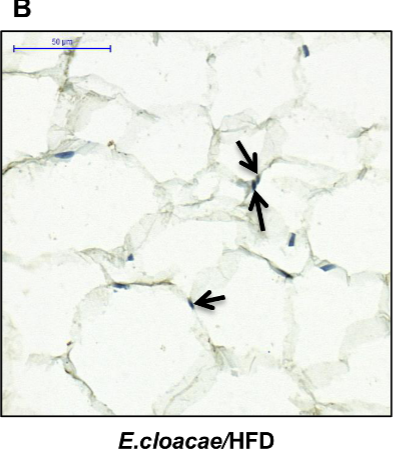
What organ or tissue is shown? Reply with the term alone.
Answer: adipose tissues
